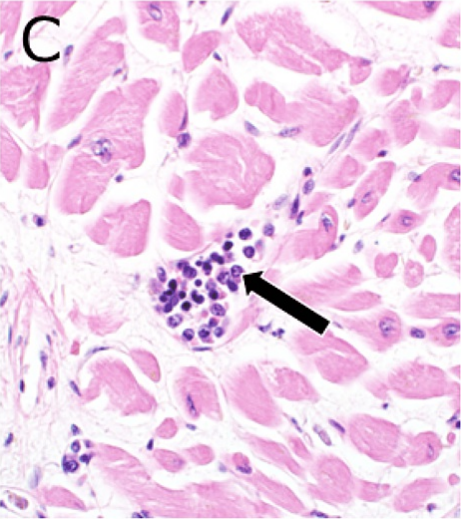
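This is heart muscle cut mostly across, with cardiomyocytes seen as irregular pink polygonal profiles of differing size, some with a central rounded nucleus and finely fibrillar cytoplasm. Pale loose connective tissue lies between the fibres, with scattered small spindle-shaped nuclei. A few similar round cells appear in the lower left. The cardiomyocytes show no obvious destruction around the cluster.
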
